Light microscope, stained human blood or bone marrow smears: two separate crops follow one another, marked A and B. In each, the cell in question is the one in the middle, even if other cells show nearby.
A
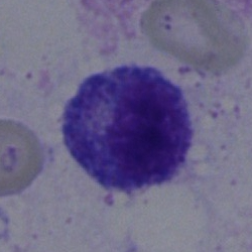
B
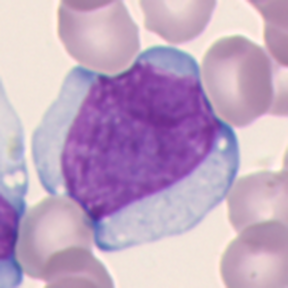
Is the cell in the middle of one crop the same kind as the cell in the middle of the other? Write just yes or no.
no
